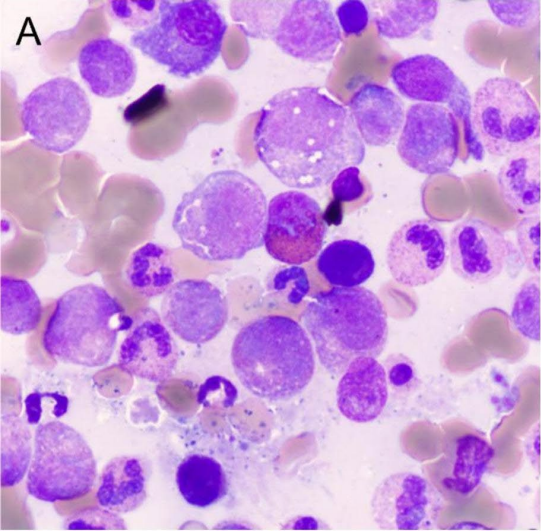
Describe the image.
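Cellular marrow smear with many myeloid precursors and scattered maturing granulocytes. Several large precursors have round to oval purple nuclei with fine chromatin and a moderate rim of lilac cytoplasm. Small clear round vacuoles are dotted through the cytoplasm of some of these larger cells. Segmented and band neutrophils with pink granular cytoplasm lie among them. Occasional small dark round nuclei and pale red cells fill the background.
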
